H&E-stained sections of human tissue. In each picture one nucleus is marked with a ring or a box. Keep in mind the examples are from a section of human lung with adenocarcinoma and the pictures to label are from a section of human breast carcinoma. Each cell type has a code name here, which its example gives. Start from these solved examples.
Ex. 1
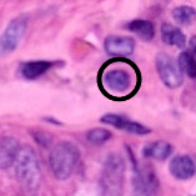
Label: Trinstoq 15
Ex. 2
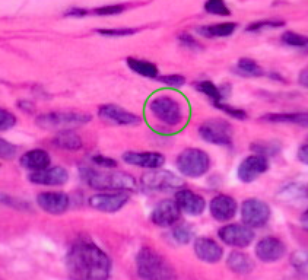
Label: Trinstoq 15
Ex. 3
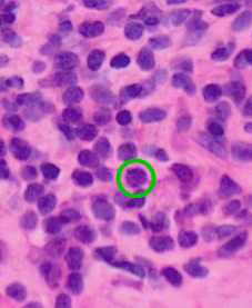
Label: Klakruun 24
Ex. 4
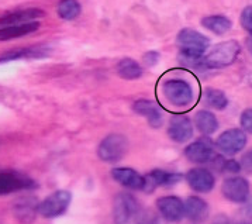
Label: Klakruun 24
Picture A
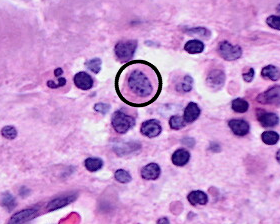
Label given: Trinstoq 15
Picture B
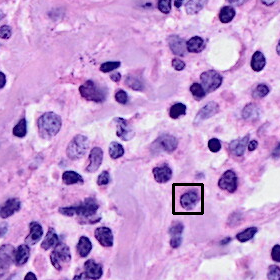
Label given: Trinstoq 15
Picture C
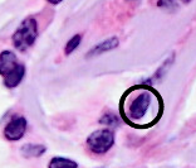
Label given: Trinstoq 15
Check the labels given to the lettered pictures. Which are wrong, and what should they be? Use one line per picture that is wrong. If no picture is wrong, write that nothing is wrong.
C: change Trinstoq 15 to Klakruun 24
